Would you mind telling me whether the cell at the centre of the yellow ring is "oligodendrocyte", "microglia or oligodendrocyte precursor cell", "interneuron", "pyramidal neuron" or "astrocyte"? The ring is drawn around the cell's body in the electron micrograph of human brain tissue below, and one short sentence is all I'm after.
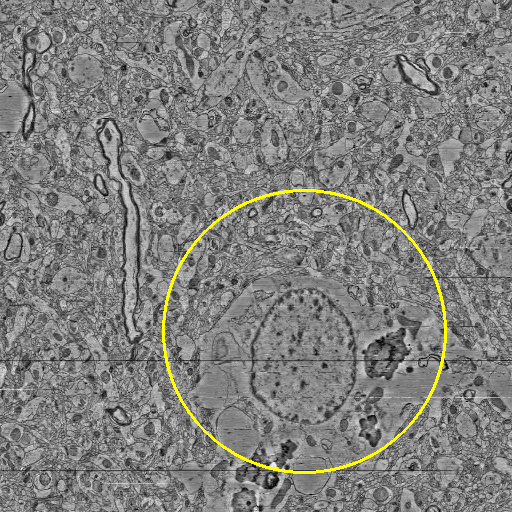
In the centre of the ring lies an astrocyte.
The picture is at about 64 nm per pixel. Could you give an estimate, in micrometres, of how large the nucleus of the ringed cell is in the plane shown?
The nucleus is approximately 9 micrometers long by 7 micrometers wide in this plane.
